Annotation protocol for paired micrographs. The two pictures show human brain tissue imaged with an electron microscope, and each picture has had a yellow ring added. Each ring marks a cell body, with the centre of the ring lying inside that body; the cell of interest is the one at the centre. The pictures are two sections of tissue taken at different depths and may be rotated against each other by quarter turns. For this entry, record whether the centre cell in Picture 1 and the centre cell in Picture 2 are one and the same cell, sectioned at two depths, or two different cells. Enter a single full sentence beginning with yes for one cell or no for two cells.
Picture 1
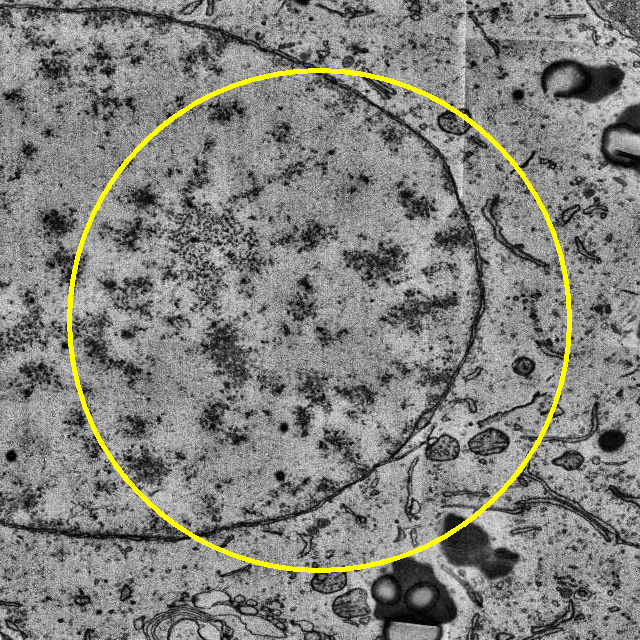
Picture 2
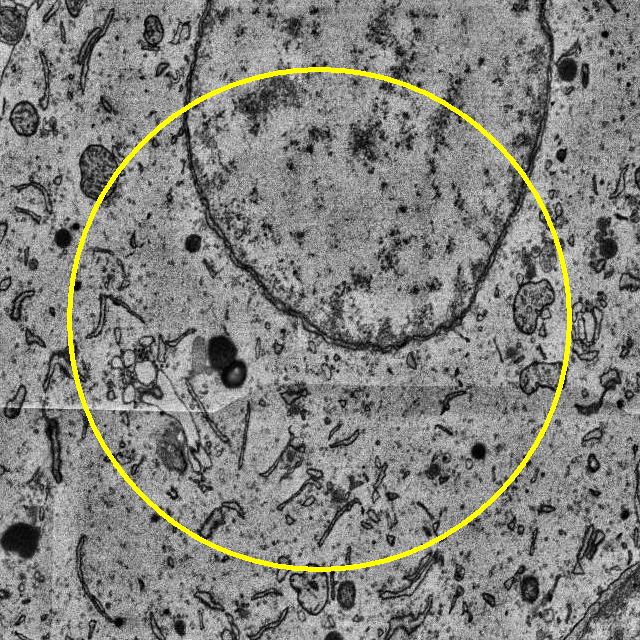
Yes, both circles in yellow pick out the same cell.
